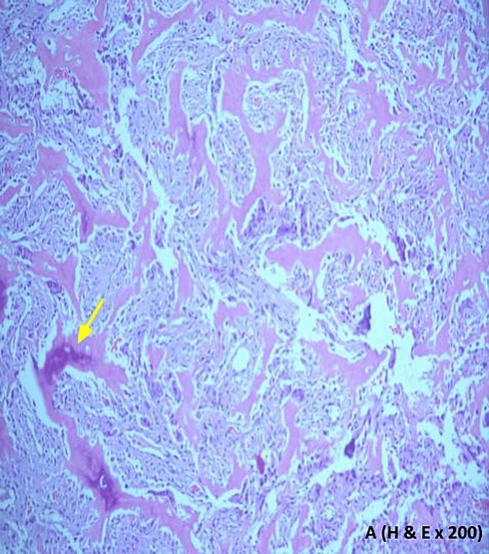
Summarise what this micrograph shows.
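Cellular fibrous tissue is interlaced with irregular, branching pink bands, seen at low magnification. The fibrous tissue is densely populated by small cells with purple nuclei, giving it a bluish-purple tone. The pink bands are curved and anastomosing, forming an irregular network through the field. Numerous clear, slit-like and rounded spaces lie within and around the cellular tissue. A few darker, deeply purple areas are present, one at the lower left.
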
